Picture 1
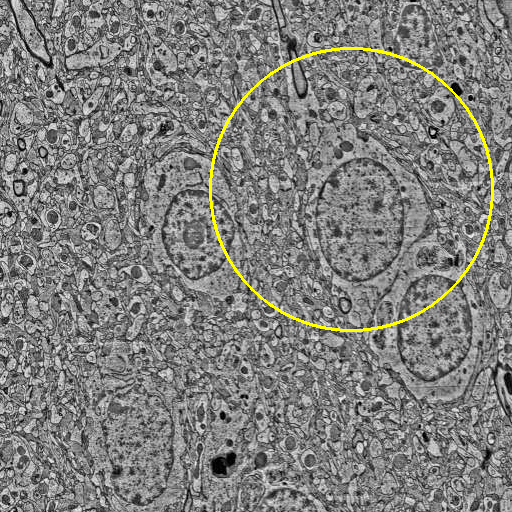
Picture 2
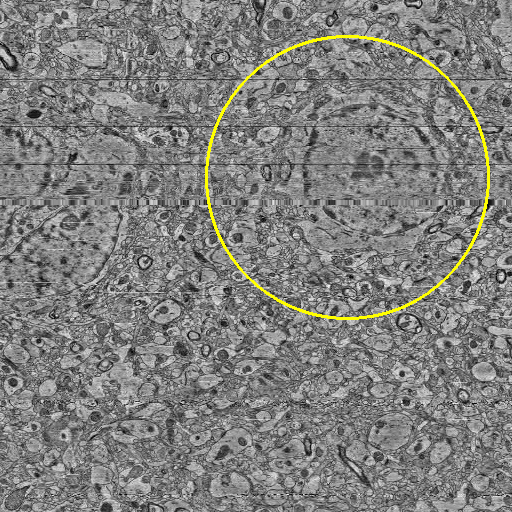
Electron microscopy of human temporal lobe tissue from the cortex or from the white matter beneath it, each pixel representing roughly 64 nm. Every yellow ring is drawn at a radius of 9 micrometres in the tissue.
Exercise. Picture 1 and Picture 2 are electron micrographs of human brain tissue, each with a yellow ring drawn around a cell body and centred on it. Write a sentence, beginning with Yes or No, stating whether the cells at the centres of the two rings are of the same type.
Yes, the cells at the centres of both rings are of the same type.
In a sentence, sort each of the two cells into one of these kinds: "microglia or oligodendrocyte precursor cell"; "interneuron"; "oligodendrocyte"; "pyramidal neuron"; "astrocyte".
In both pictures the ring is centred on an astrocyte.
